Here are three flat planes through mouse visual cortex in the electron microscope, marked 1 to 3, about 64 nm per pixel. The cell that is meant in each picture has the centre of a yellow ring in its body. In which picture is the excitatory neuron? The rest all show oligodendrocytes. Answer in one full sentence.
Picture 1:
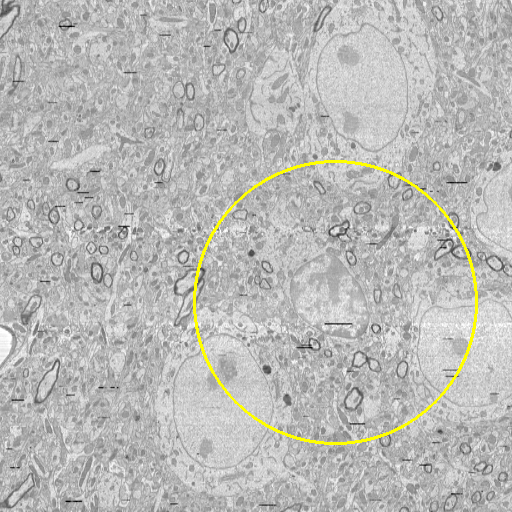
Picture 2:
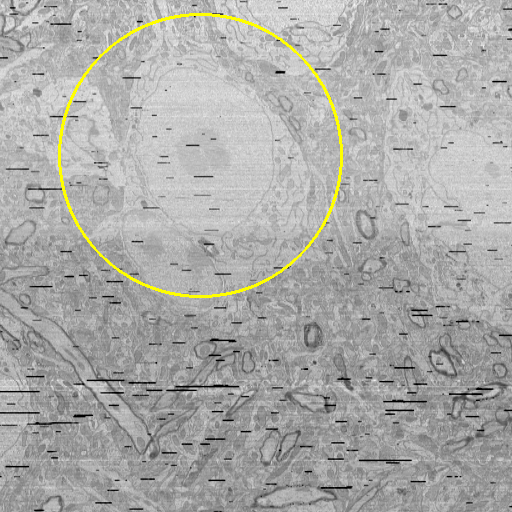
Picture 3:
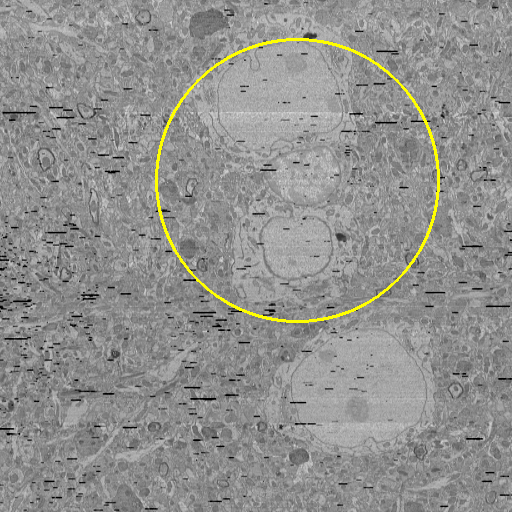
The picture with the excitatory neuron is 2.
